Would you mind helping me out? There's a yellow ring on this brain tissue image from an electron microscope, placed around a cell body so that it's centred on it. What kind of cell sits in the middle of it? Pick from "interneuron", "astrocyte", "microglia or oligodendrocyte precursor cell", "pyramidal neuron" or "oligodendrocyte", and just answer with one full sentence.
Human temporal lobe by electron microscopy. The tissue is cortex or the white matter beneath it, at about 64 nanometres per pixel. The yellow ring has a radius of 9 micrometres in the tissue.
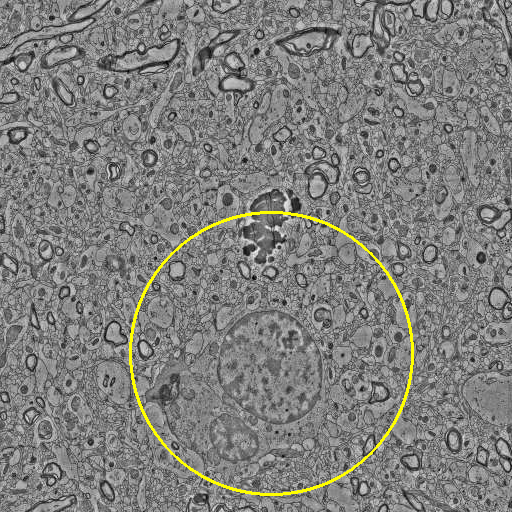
What sits in the middle of that yellow ring is an oligodendrocyte, from your choices.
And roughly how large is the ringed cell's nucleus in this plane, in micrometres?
Roughly 7 micrometres across, measured in this plane.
